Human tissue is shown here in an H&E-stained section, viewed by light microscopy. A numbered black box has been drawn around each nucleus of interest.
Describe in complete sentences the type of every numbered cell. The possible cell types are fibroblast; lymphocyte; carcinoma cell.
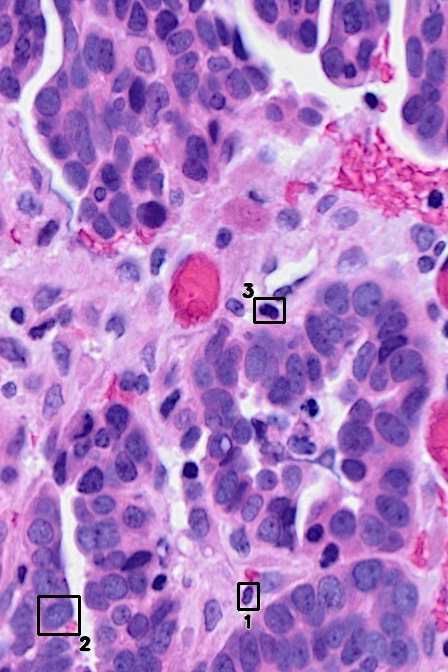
Cells 1 and 3 are lymphocytes. Cell 2 is a carcinoma cell.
